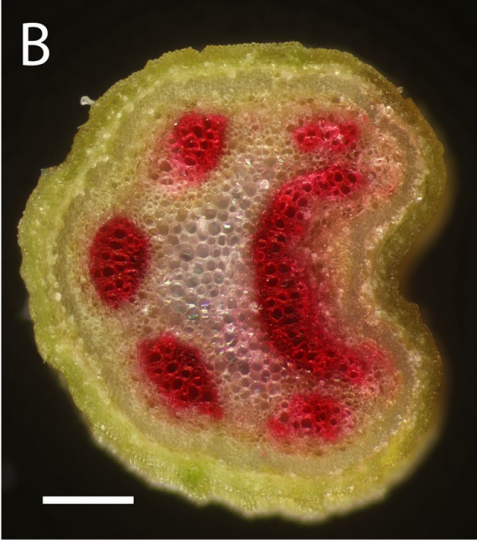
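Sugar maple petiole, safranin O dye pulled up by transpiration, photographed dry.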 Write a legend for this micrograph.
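An outer band of green tissue surrounds the section. Separate red bundles lie in a ring, and one of them is a large crescent on one side. The red regions are made of small cells with open lumina. The middle of the section is filled with larger pale, unstained polygonal cells.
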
